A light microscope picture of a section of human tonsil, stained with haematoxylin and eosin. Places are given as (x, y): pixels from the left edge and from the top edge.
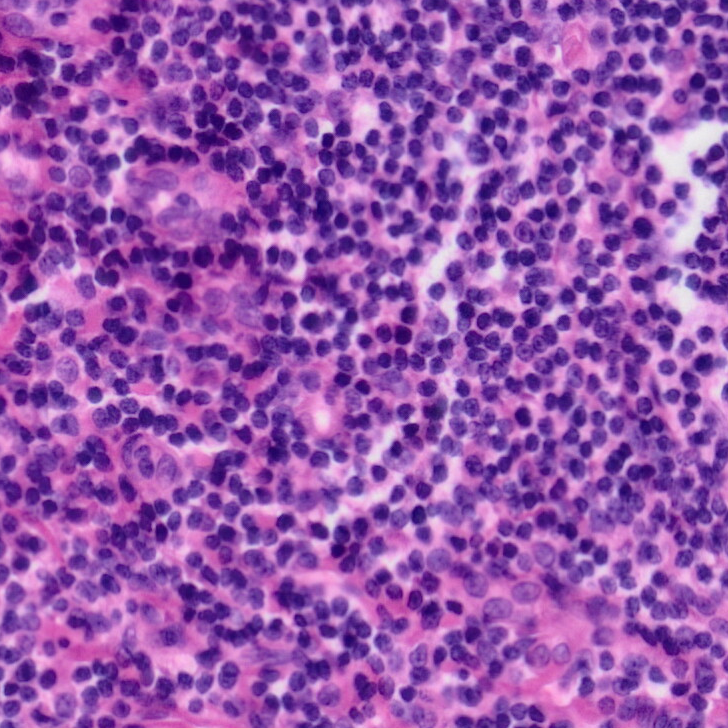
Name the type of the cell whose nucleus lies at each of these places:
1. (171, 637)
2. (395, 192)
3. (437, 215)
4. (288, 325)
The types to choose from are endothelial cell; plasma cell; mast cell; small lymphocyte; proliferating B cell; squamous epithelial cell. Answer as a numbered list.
1. endothelial cell
2. small lymphocyte
3. small lymphocyte
4. small lymphocyte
